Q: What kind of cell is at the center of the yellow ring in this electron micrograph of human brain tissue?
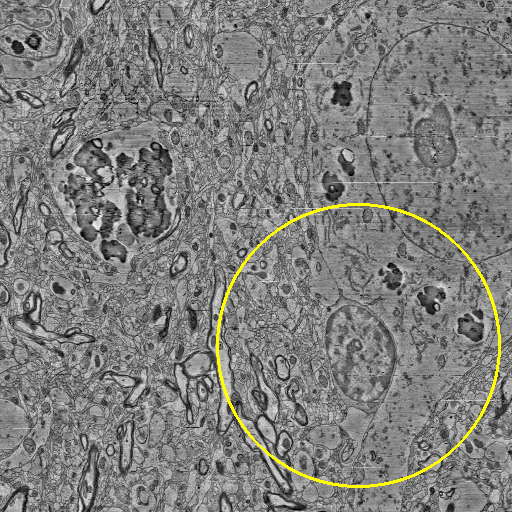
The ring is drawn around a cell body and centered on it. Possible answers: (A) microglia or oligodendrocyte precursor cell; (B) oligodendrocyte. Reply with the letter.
B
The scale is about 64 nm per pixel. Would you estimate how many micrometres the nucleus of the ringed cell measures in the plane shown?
About 6 by 4 micrometres in this plane.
